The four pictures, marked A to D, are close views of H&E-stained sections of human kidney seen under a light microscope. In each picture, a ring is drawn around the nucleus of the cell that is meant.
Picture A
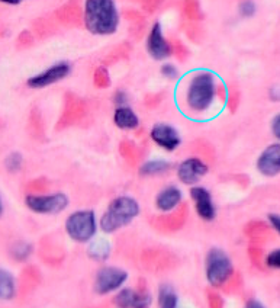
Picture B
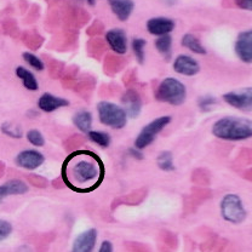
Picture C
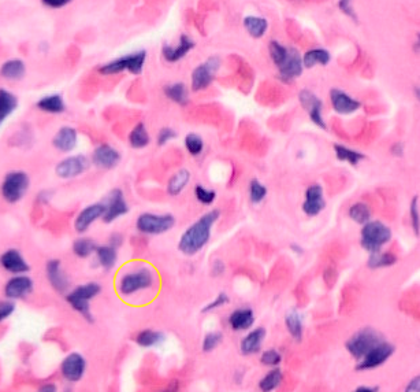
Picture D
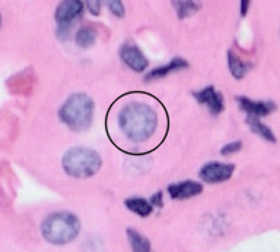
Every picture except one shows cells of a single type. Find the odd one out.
D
